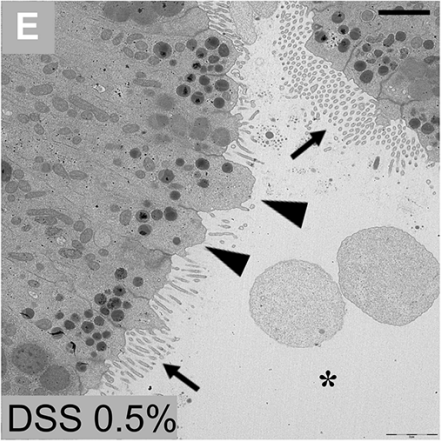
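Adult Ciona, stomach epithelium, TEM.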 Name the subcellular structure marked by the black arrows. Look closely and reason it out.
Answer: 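Microvilli. Groups of thin finger-like projections extend from the apical cell surface. Many projections are cut across, appearing as small round profiles.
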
